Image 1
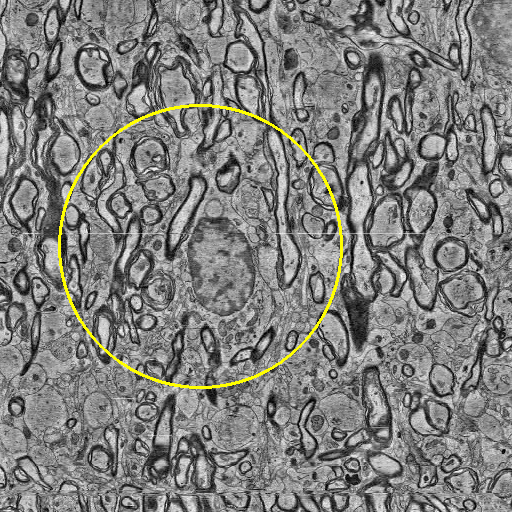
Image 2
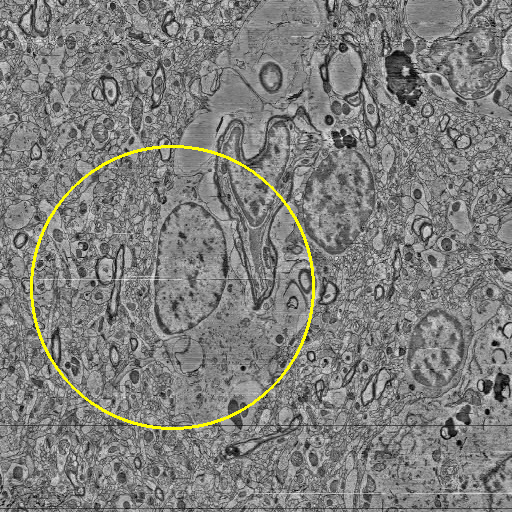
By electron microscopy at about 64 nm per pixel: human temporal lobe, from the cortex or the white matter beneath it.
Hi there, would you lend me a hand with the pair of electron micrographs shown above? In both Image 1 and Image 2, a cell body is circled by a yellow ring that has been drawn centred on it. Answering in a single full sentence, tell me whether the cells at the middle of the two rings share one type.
Yes, the ringed cells in Image 1 and Image 2 share one type.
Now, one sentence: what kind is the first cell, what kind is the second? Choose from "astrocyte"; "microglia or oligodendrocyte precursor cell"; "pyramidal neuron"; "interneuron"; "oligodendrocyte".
Both rings mark a microglial cell or oligodendrocyte precursor cell, one in each picture.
